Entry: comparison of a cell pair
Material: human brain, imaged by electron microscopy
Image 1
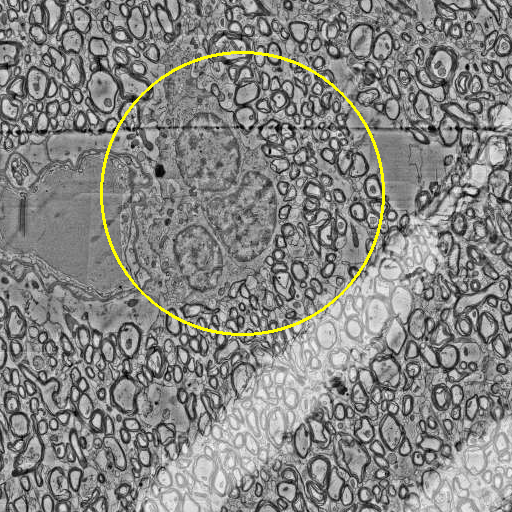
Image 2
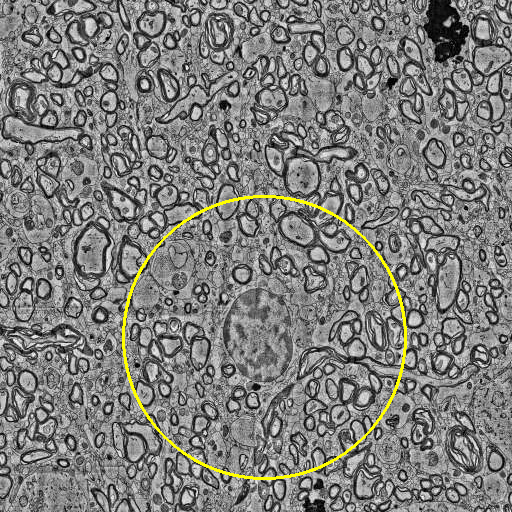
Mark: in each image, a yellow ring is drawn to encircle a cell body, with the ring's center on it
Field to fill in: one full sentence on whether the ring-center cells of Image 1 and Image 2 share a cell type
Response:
No, Image 1 and Image 2 show ring-center cells of two separate types.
